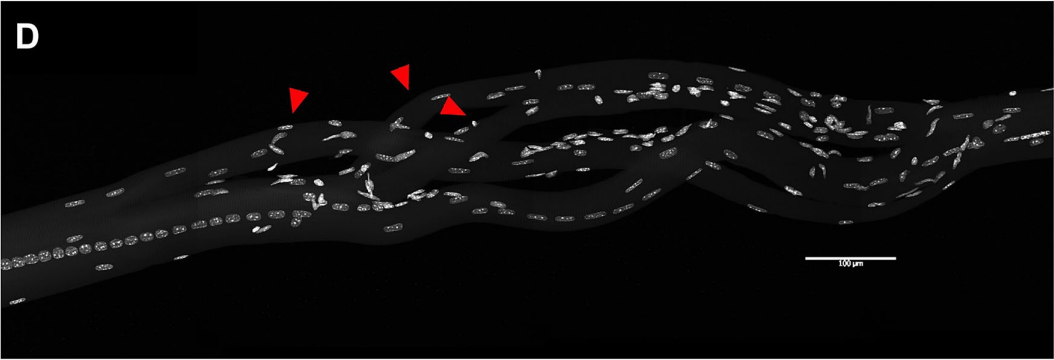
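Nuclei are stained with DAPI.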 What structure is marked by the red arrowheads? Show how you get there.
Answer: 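Several fiber strands split off and cross over one another. The arrowheads point to places where one fiber divides into separate strands. Each strand is studded with oval nuclei.
Hence: branches.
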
